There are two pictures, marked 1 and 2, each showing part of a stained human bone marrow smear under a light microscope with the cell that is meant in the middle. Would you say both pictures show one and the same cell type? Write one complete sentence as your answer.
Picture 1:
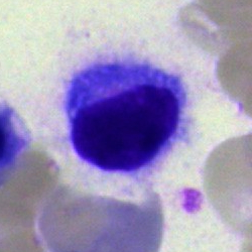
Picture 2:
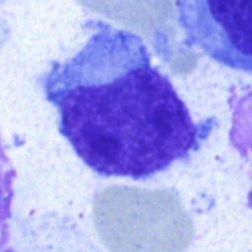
Yes; the cells in both pictures are hairy cells.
